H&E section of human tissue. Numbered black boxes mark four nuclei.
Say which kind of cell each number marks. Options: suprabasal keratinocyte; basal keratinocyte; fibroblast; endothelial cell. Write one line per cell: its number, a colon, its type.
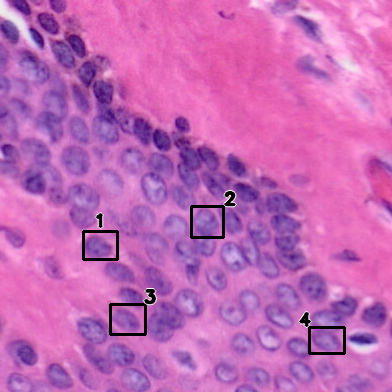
1: basal keratinocyte
2: suprabasal keratinocyte
3: basal keratinocyte
4: suprabasal keratinocyte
